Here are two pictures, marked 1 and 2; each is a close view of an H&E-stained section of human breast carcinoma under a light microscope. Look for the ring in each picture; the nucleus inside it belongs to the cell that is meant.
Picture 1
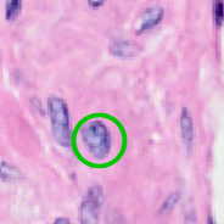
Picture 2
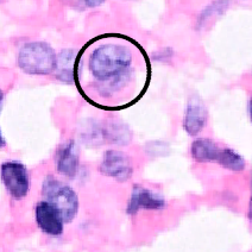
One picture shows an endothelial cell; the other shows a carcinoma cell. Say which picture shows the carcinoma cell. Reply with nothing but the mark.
2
